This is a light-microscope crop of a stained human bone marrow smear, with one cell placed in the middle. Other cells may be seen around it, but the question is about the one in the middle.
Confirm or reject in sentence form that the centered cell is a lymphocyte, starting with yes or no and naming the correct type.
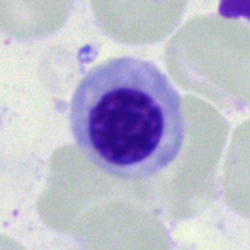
No, instead of a lymphocyte, the centred cell represents a normoblast.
